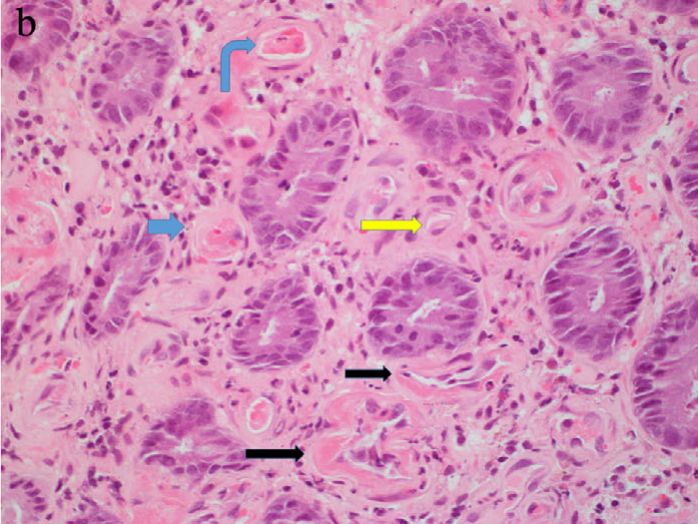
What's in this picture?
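This is mucosa seen at high power, with rounded glands cut across and lined by tall columnar cells whose elongated dark purple nuclei crowd toward the base. In the pink stroma between the glands lie many small vessels: some have their lumens filled with pink material, and others have thick, glassy pink walls that narrow the lumen. Scattered small dark nuclei of stromal and inflammatory cells lie between the glands and vessels.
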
